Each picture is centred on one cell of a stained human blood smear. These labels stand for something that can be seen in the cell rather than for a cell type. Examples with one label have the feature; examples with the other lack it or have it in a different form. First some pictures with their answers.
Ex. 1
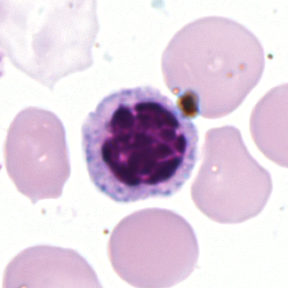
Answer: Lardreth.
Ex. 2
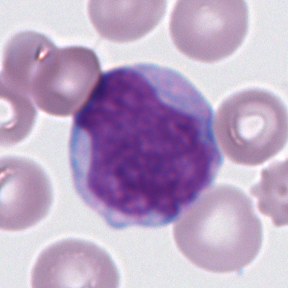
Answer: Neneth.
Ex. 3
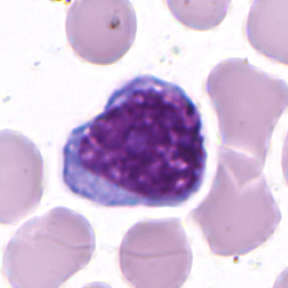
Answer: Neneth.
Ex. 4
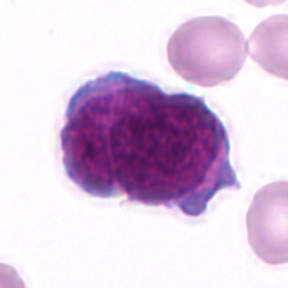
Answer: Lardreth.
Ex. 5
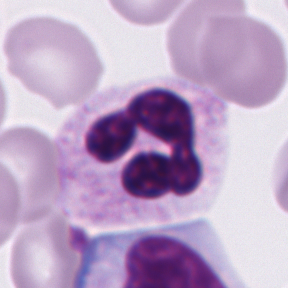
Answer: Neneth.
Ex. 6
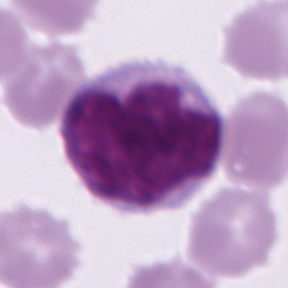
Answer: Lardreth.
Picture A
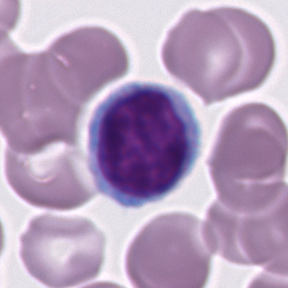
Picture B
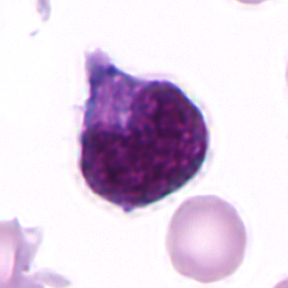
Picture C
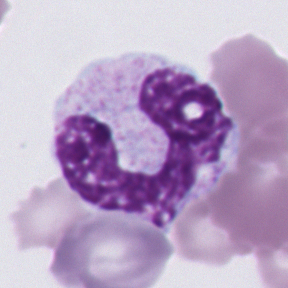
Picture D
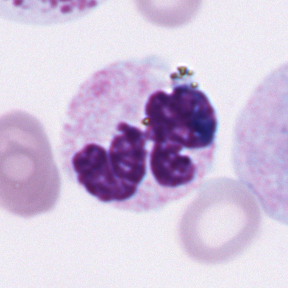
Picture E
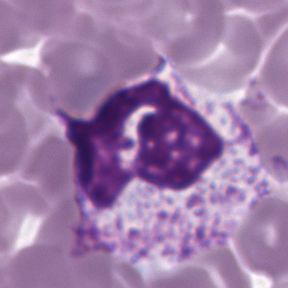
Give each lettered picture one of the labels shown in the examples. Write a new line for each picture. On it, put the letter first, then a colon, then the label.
A: Neneth.
B: Lardreth.
C: Neneth.
D: Neneth.
E: Lardreth.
